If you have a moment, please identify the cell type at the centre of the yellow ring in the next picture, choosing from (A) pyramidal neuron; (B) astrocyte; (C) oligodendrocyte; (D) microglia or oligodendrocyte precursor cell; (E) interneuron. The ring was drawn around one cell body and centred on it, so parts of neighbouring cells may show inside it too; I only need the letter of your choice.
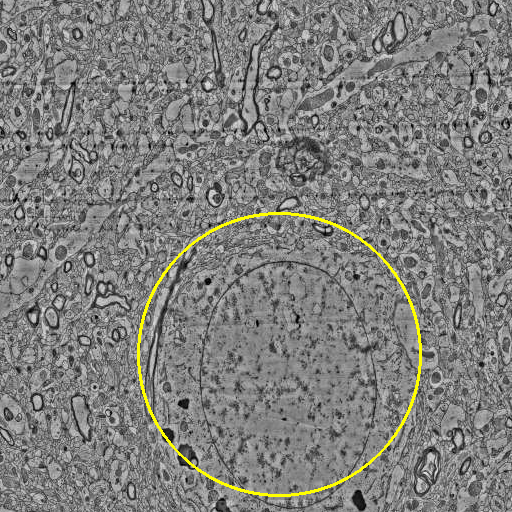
A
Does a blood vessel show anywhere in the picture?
No, none appears.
